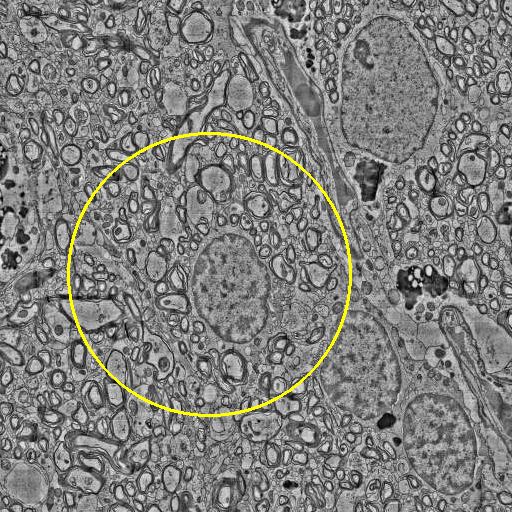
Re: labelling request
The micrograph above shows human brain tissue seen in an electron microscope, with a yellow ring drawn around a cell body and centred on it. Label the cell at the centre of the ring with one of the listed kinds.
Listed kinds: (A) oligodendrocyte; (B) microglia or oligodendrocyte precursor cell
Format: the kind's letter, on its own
A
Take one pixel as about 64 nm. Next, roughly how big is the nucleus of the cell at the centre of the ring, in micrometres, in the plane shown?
Approximately 7 by 5 micrometers in this plane.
